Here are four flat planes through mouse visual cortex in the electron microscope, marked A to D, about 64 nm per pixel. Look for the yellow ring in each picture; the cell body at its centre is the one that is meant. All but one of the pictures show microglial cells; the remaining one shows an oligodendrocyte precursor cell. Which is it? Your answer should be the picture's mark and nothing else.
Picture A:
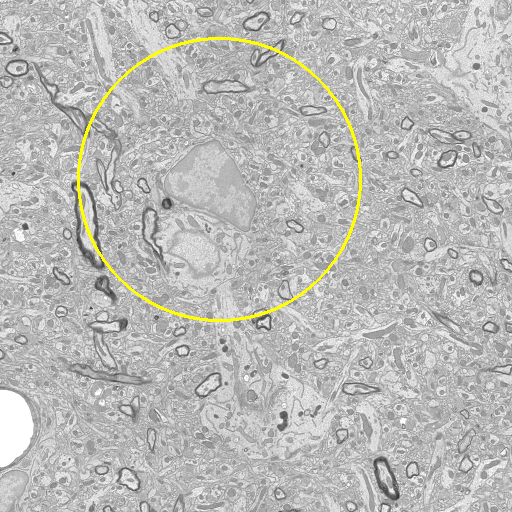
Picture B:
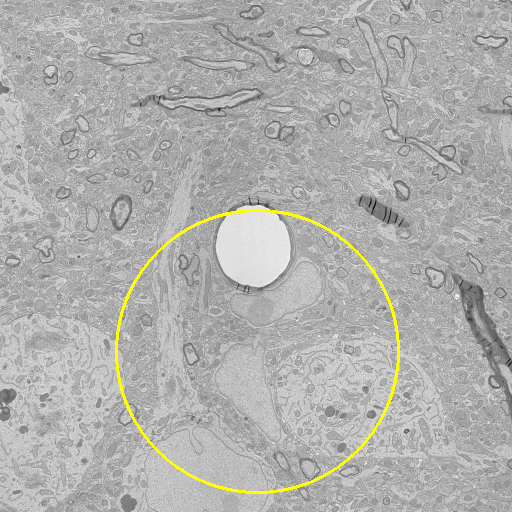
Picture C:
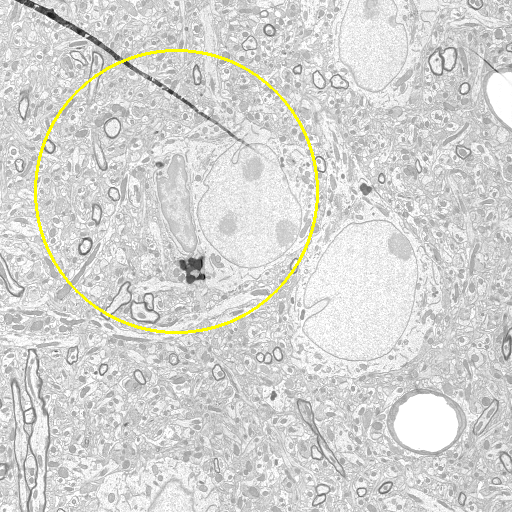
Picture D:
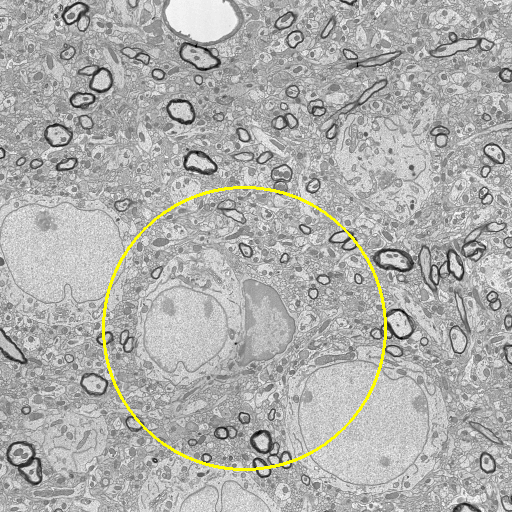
B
